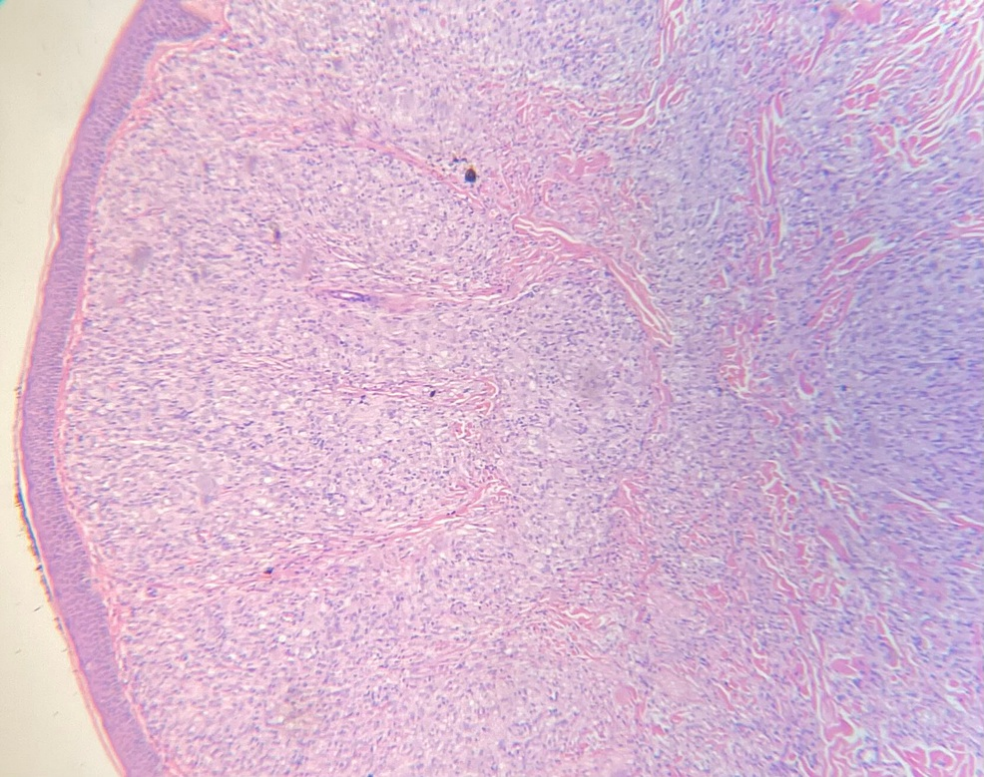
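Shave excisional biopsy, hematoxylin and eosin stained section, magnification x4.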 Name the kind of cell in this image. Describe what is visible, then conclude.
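Foamy histiocytes. Sheets of cells with pale, finely vacuolated cytoplasm fill the tissue beneath the surface epithelium. The pale cells are densely packed and replace the normal dermal tissue.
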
